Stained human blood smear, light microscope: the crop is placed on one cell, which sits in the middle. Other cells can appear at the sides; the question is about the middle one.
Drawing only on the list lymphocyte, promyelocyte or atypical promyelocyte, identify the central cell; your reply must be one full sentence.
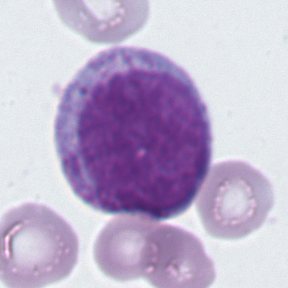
The central cell in this smear crop is a promyelocyte.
